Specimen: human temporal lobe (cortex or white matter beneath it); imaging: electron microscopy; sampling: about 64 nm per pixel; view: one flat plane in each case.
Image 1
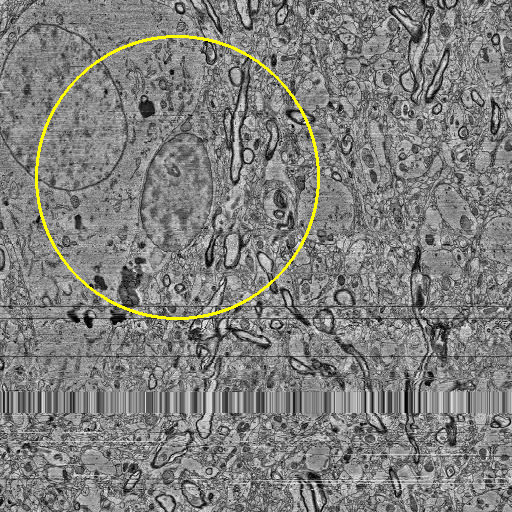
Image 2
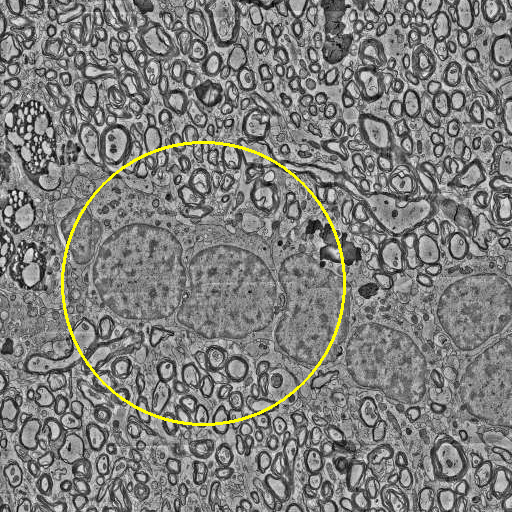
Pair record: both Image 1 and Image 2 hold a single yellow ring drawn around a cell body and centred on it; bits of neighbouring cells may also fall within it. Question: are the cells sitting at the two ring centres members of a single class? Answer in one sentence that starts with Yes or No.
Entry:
Yes, both ring-centre cells in Image 1 and Image 2 are members of one class.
